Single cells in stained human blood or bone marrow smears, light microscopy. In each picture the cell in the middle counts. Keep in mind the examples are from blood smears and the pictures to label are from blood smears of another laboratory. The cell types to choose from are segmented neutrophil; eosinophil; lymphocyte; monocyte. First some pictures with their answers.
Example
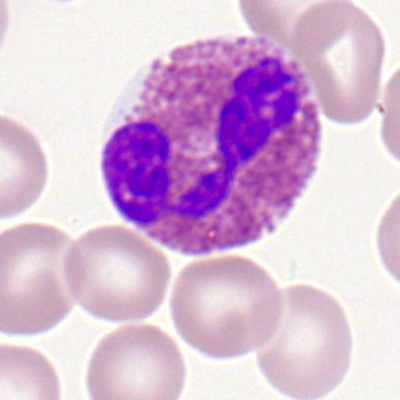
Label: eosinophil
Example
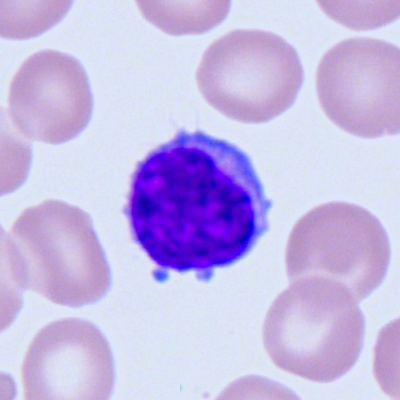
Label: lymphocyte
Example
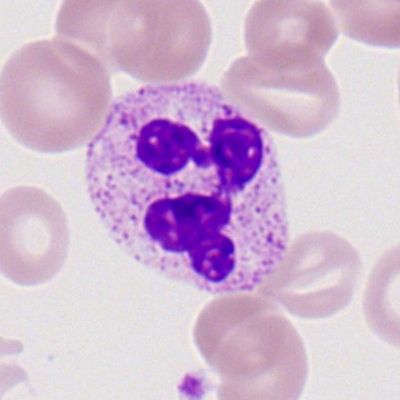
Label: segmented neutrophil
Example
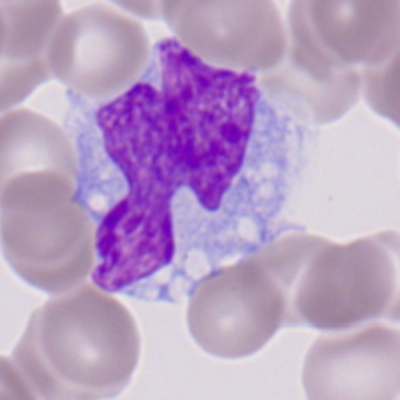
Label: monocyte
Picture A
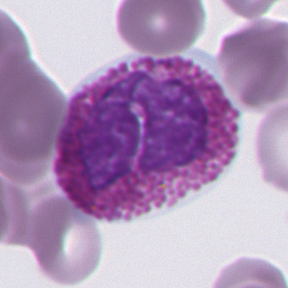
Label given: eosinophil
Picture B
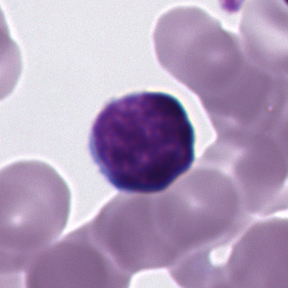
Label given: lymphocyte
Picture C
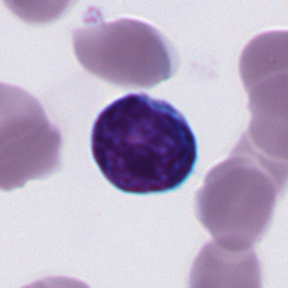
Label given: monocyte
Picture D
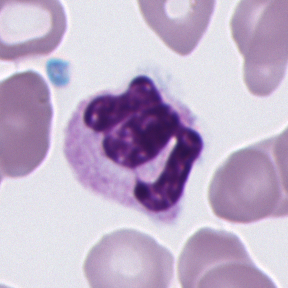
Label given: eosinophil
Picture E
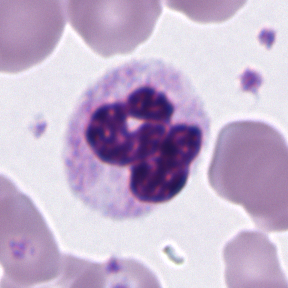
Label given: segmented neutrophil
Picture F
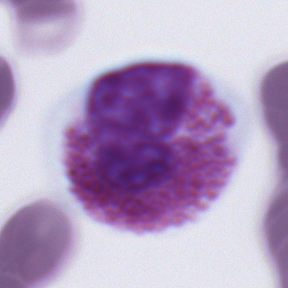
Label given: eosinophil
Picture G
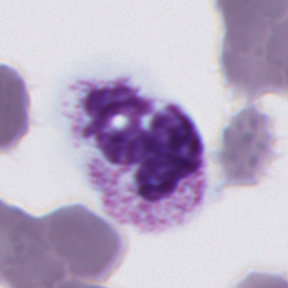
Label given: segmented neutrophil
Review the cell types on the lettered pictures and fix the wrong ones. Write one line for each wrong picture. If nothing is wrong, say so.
C should be lymphocyte, not monocyte
D should be segmented neutrophil, not eosinophil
